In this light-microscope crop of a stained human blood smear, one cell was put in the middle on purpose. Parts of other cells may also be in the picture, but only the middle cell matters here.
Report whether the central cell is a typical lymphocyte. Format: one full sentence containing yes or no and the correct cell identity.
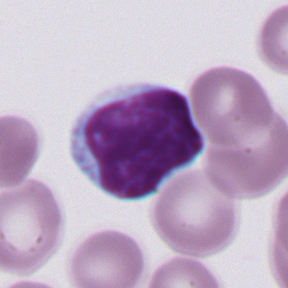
Yes, in the centre of this field sits a typical lymphocyte.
